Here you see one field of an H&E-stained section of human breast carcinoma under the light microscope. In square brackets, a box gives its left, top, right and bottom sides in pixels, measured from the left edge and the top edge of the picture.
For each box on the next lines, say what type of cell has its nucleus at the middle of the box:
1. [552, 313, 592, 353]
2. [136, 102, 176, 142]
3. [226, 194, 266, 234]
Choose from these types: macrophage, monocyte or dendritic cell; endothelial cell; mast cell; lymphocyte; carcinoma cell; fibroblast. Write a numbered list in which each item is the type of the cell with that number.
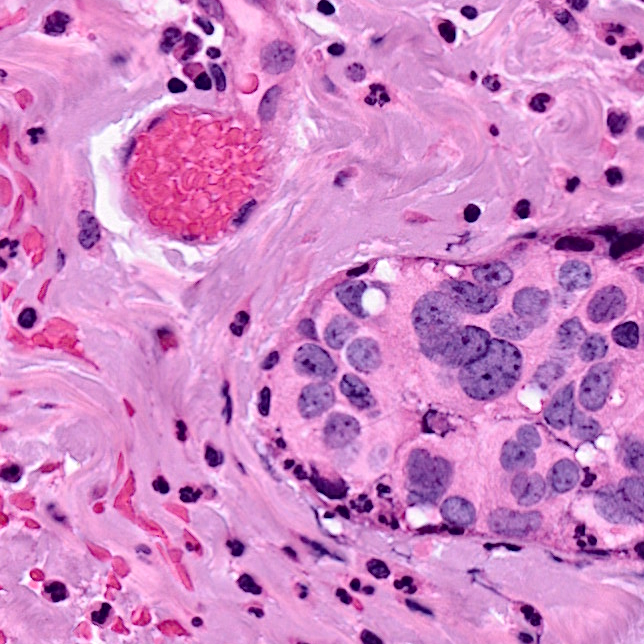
1. carcinoma cell
2. endothelial cell
3. endothelial cell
